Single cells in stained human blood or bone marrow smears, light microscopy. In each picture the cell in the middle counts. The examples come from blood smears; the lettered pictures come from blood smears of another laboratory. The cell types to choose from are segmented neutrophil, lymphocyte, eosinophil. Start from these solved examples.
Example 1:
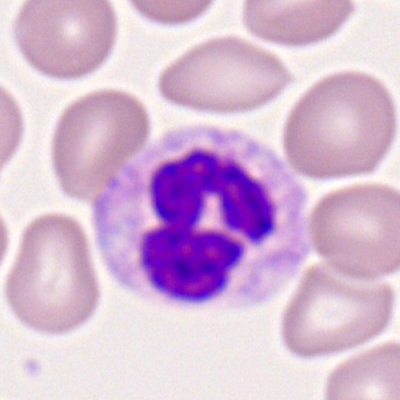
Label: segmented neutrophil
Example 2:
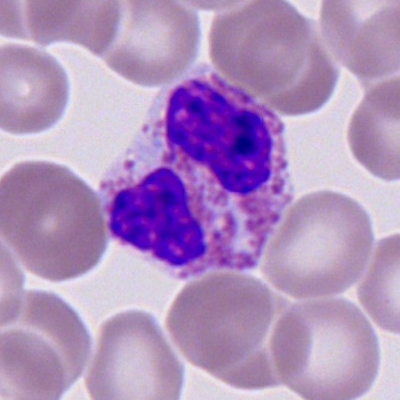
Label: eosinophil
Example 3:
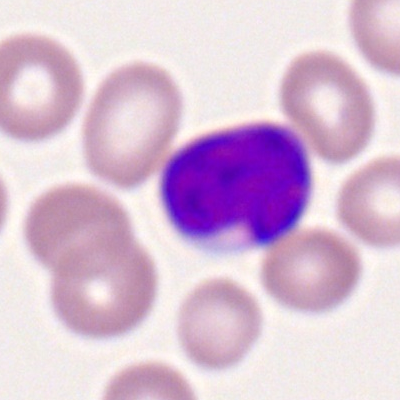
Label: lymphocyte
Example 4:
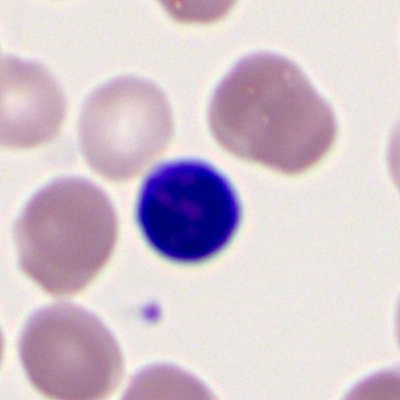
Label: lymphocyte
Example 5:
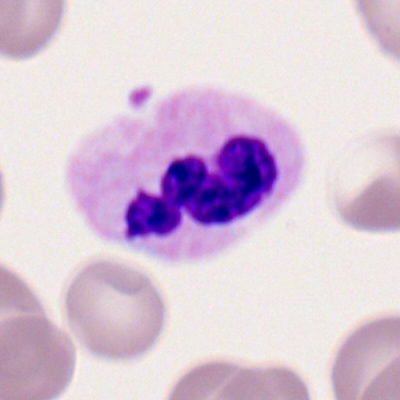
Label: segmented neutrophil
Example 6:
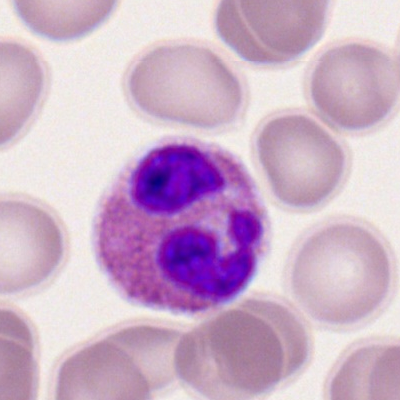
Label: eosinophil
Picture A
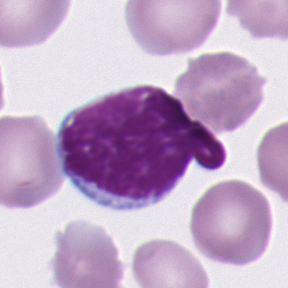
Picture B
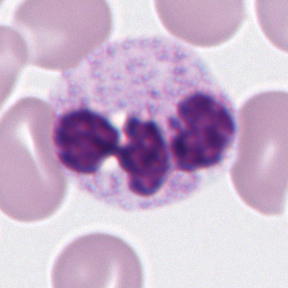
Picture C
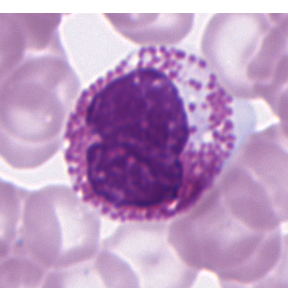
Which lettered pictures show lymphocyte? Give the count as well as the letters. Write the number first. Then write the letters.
Count: 1 (A)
